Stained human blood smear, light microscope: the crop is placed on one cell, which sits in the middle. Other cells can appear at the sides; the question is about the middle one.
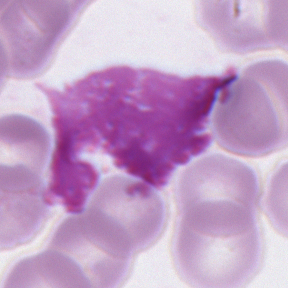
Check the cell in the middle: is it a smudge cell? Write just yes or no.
yes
